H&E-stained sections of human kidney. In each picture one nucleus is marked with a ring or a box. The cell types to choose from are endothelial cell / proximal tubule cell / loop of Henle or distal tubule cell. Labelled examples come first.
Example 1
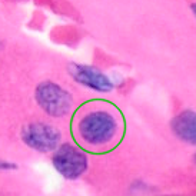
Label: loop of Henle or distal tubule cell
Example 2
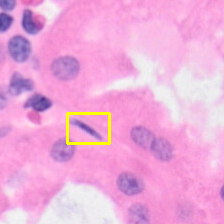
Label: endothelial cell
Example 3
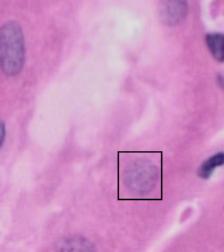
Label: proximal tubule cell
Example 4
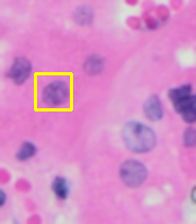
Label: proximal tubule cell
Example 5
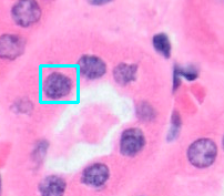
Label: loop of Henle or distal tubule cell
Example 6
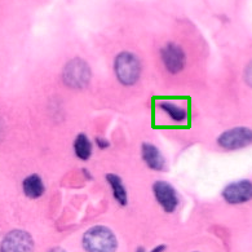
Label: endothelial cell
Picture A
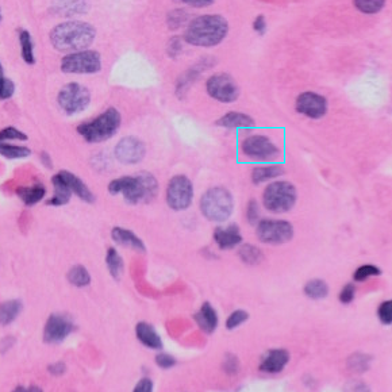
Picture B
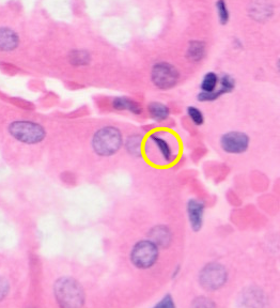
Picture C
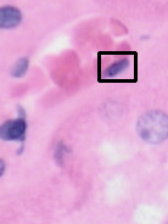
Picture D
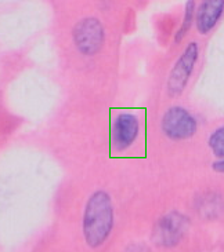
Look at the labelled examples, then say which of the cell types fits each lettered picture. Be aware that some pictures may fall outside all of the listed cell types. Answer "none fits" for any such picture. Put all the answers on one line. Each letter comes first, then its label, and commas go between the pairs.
A none fits, B endothelial cell, C endothelial cell, D endothelial cell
